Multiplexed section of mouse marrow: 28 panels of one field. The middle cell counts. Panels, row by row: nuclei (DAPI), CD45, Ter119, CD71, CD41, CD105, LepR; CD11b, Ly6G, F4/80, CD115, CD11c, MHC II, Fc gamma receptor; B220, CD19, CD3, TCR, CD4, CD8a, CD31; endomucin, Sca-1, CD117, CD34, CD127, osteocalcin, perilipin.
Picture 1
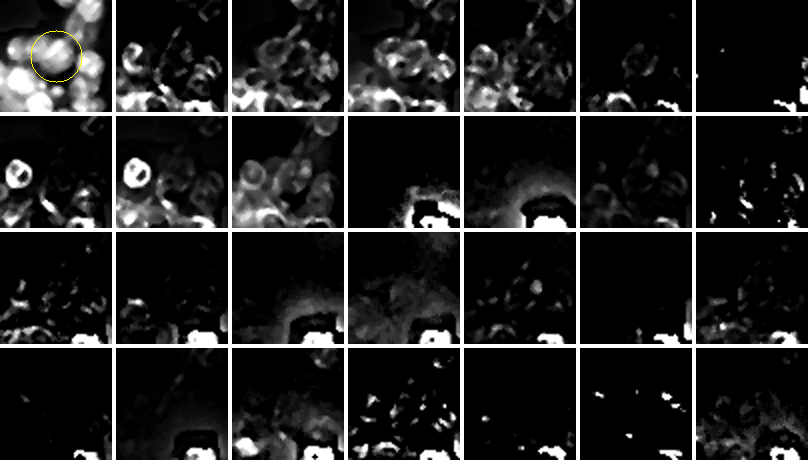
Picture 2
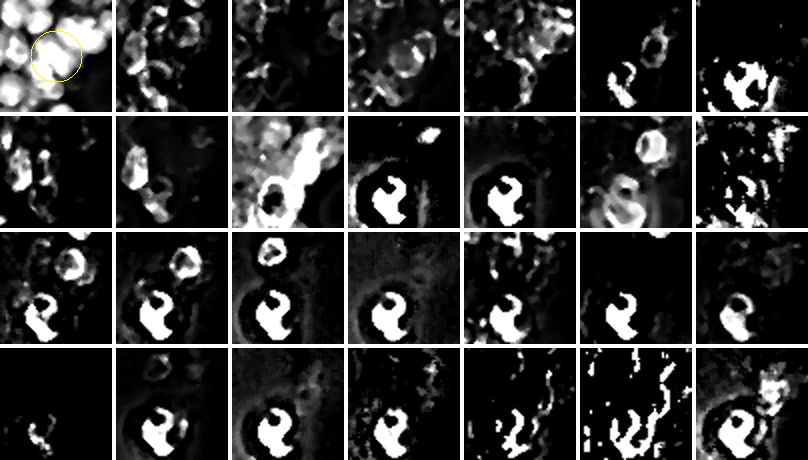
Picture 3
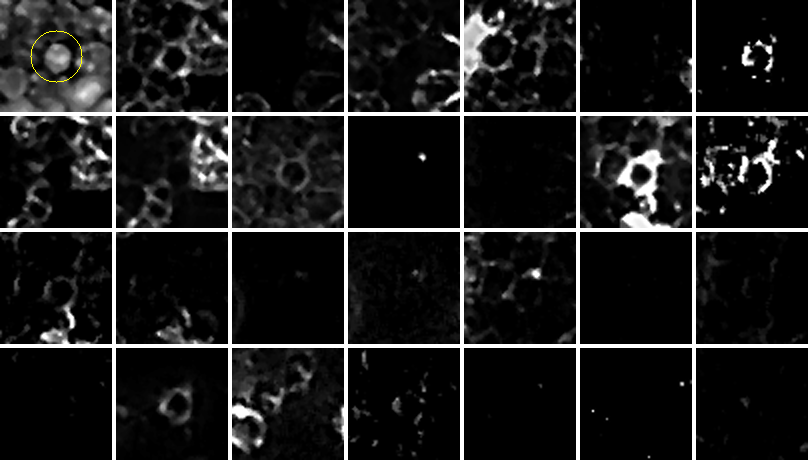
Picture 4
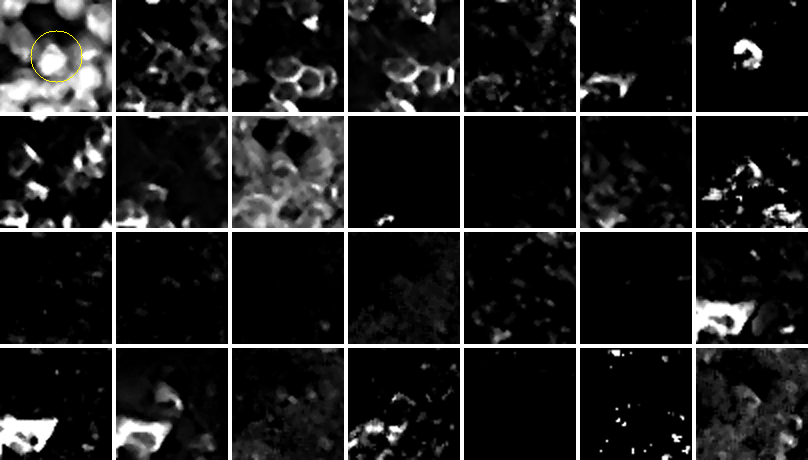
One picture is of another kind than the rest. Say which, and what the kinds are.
Picture 1 shows an erythroblast; the rest show LepR-positive perivascular cells.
